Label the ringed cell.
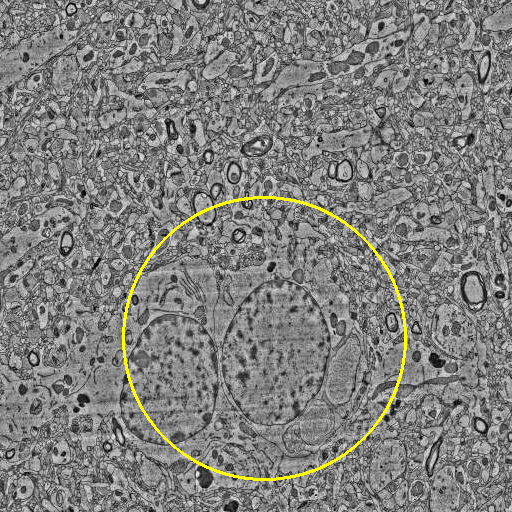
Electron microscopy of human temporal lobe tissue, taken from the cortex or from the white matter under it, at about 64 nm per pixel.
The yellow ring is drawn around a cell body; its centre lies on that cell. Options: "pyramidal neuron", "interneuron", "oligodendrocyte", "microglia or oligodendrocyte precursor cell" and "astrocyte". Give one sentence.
The ringed cell is an astrocyte.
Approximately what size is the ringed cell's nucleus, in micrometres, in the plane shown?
The nucleus is approximately 9 micrometers long by 7 micrometers wide in this plane.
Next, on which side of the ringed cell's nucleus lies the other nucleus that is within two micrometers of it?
The second nucleus lies to the left of it.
